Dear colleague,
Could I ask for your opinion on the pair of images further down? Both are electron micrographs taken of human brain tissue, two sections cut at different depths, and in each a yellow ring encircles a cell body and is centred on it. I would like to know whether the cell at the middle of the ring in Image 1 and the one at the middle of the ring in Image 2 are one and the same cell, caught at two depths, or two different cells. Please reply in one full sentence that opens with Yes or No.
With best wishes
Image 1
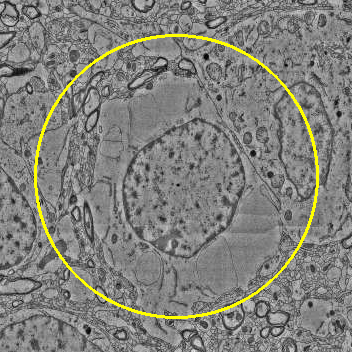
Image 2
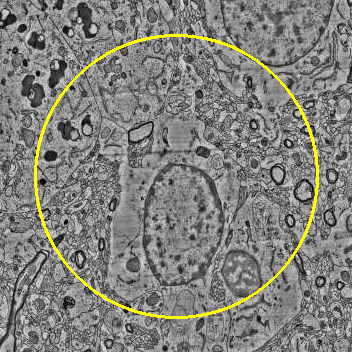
No, it is two different cells that the rings mark.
